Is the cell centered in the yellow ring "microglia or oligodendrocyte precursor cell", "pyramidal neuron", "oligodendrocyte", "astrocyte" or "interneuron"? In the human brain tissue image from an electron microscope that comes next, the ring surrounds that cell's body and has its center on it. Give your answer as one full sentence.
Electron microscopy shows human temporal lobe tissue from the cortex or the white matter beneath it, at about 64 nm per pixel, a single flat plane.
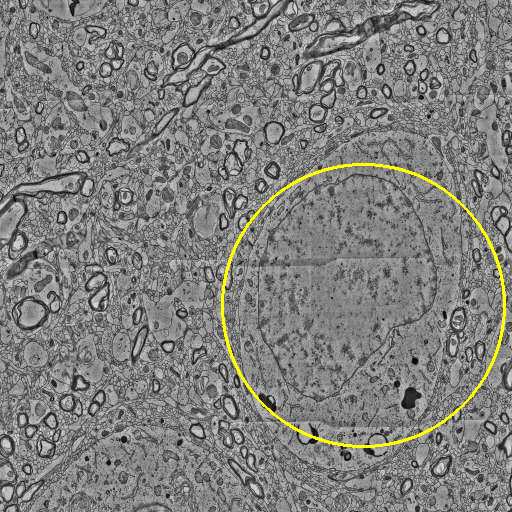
The cell at the center of the yellow ring is a pyramidal neuron in the micrograph.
